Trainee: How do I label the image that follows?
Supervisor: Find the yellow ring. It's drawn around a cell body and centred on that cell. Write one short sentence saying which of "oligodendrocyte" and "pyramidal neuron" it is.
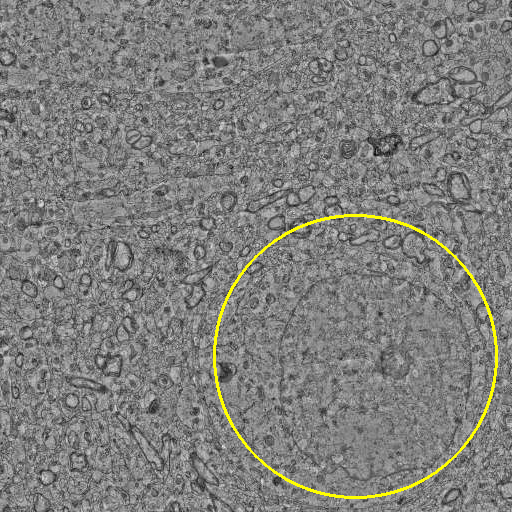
This is the cell body of a pyramidal neuron.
